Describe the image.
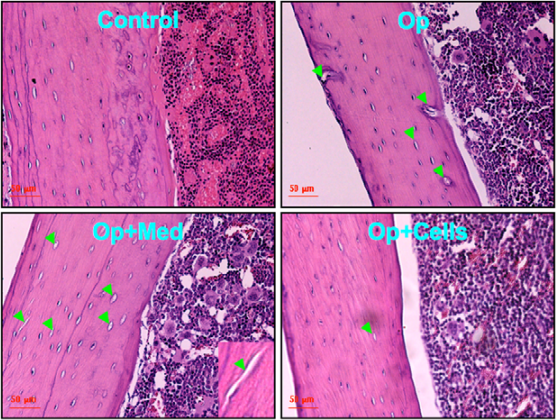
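The dense, homogeneous pink compact bone holds scattered small flattened lacunae in rows parallel to its surface, and small elongated clefts within the bone are marked in several images. The adjacent marrow is densely cellular, with many small round dark-blue nuclei.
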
